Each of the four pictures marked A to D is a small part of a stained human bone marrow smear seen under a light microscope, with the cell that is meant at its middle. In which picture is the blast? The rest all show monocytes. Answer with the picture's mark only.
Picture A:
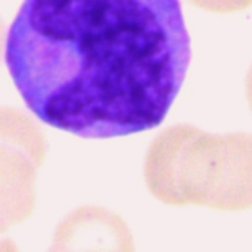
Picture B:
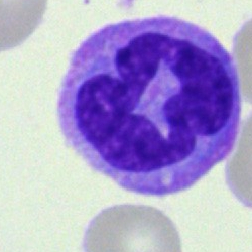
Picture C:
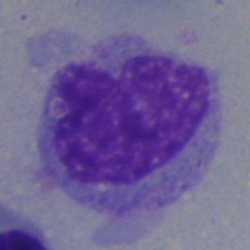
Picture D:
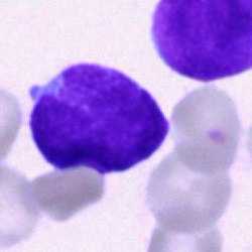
D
